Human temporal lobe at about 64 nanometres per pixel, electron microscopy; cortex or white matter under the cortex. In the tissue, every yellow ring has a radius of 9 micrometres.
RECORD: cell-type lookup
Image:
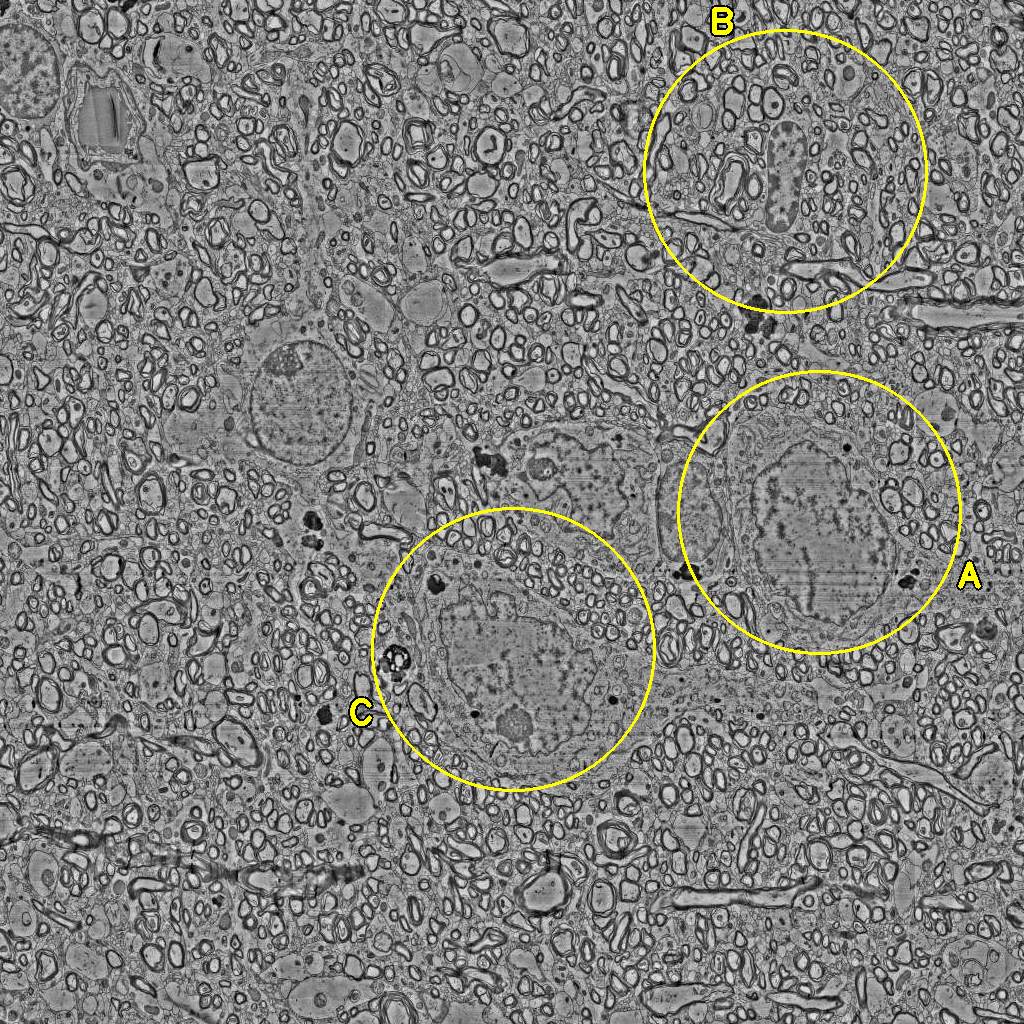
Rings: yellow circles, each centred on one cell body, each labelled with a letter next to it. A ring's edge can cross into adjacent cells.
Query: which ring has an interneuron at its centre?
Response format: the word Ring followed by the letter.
Ring A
